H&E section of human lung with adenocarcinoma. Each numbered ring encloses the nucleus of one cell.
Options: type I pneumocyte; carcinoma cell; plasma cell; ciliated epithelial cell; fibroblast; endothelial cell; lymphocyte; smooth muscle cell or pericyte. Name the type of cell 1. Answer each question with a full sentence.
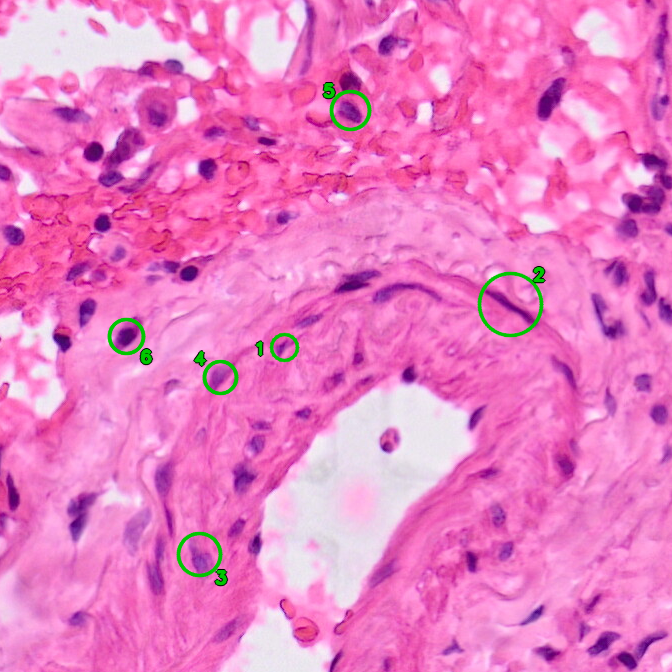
Looking at the numbered marks, cell 1 is a smooth muscle cell or pericyte.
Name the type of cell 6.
Nucleus 6 in this section belongs to a plasma cell.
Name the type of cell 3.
That cell with number 3 is a smooth muscle cell or pericyte.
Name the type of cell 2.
Cell 2, among those numbered, is a smooth muscle cell or pericyte.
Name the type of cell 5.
The marked nucleus 5 is that of a type I pneumocyte.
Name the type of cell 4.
Cell 4, among those numbered, is a smooth muscle cell or pericyte.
